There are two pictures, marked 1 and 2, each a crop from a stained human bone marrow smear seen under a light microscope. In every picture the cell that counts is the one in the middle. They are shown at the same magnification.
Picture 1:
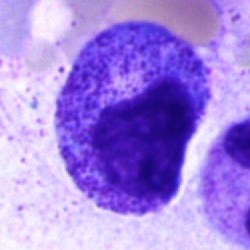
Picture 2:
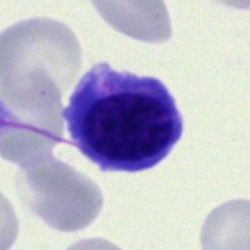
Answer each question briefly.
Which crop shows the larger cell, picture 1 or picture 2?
1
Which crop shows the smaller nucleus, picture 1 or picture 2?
2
